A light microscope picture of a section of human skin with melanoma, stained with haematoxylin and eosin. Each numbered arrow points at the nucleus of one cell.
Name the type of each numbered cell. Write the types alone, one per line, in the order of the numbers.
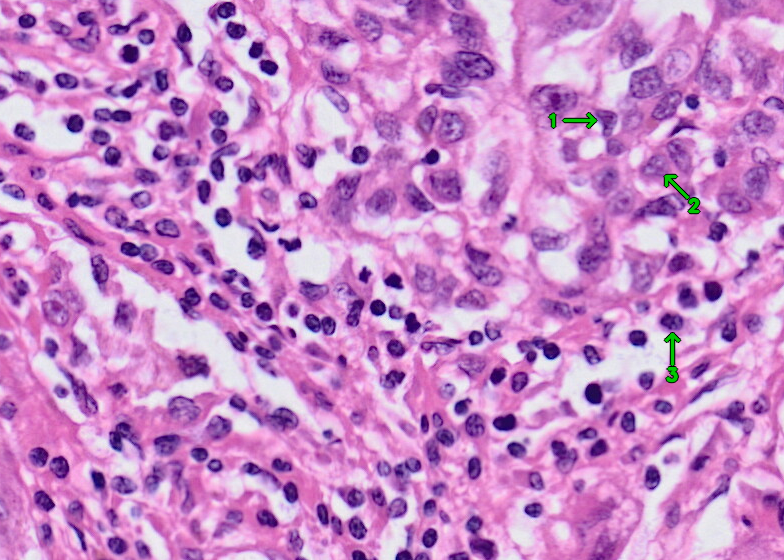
melanoma cell
melanoma cell
plasma cell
